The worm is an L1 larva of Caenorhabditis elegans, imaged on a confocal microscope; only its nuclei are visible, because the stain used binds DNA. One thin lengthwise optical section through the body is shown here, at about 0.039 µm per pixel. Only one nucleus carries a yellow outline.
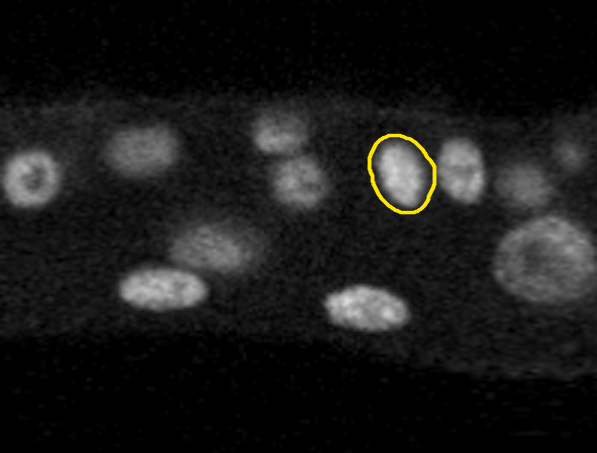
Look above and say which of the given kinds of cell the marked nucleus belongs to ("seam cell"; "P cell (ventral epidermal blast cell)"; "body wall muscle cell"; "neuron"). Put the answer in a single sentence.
The marked cell is a neuron.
